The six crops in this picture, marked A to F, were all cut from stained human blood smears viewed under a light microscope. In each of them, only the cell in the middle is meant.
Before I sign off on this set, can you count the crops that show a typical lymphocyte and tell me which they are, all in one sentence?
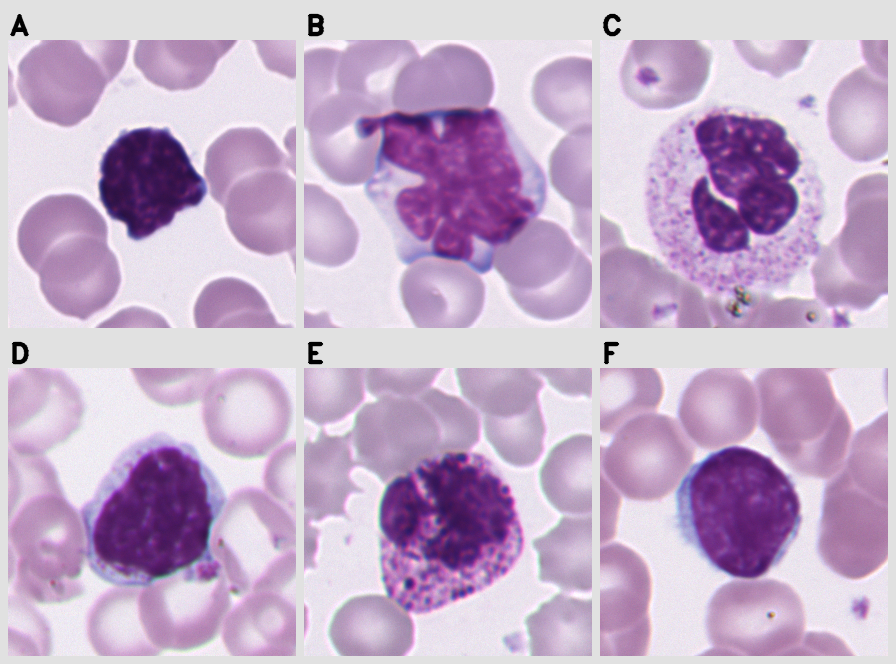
The crops with typical lymphocytes are A, D and F, three in total.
